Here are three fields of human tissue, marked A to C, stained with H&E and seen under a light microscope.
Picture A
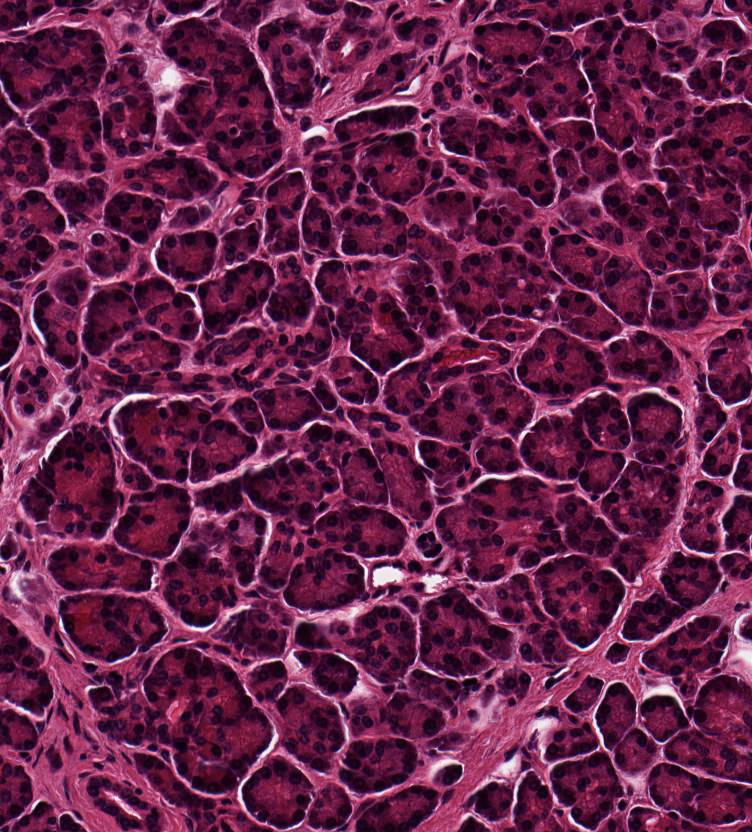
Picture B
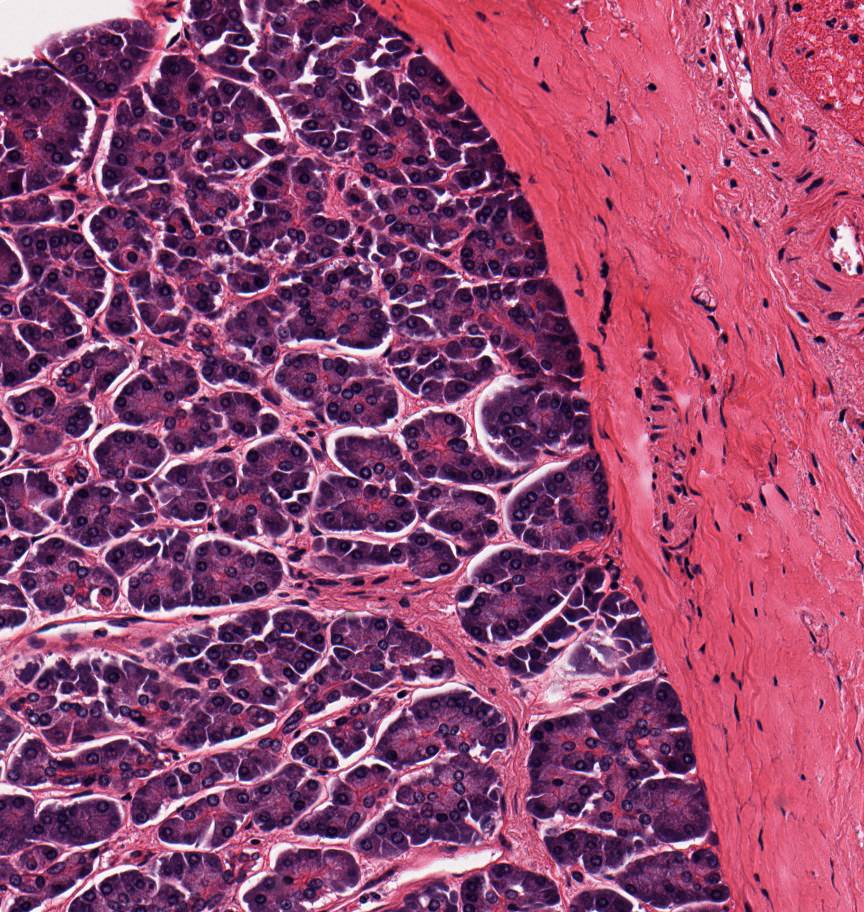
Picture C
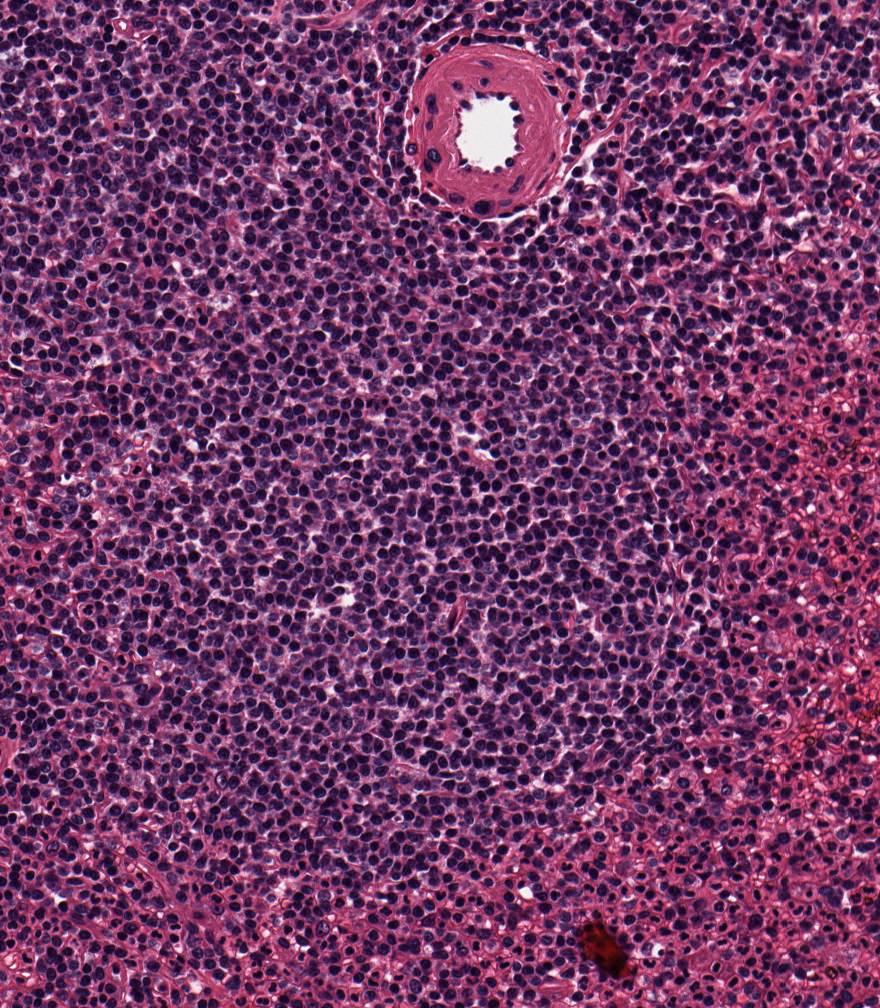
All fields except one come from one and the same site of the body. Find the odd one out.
C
